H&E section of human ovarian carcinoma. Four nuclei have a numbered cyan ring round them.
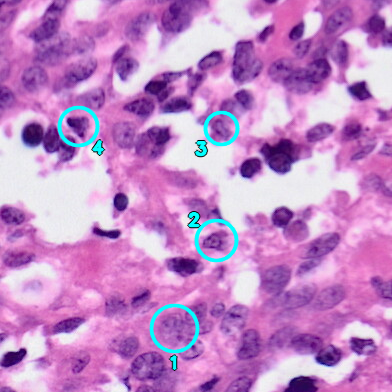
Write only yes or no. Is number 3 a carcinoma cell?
no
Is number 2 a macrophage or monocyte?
yes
